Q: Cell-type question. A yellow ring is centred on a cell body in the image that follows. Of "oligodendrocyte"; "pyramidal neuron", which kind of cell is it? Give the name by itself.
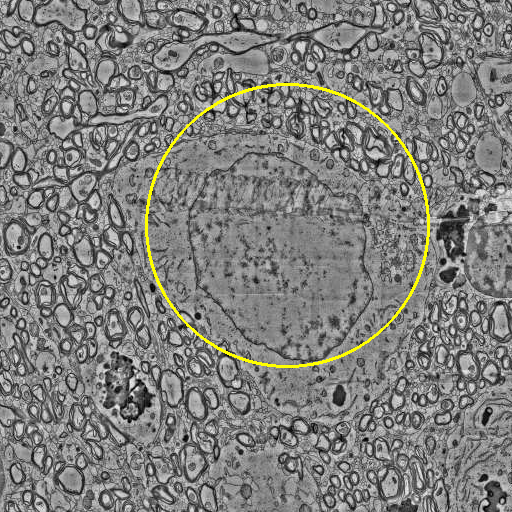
pyramidal neuron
